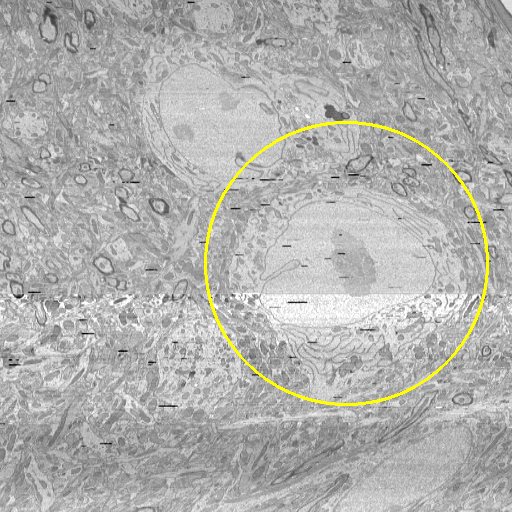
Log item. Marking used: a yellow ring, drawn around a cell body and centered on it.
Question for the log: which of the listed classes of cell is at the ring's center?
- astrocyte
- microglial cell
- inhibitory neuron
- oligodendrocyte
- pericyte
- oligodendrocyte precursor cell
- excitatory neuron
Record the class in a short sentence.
At the center of the ring lies an excitatory neuron.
